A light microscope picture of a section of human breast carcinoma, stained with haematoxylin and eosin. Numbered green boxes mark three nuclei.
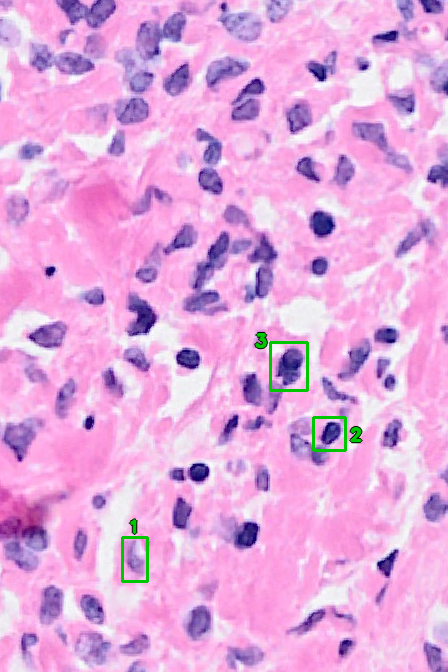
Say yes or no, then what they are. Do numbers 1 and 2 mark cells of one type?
No, cell 1 is to be identified as an endothelial cell and cell 2 as a lymphocyte.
